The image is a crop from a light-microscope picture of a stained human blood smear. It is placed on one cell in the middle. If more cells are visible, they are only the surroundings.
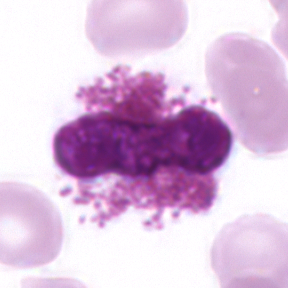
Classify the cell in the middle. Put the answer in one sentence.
In this smear crop, the middle cell is an eosinophil.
